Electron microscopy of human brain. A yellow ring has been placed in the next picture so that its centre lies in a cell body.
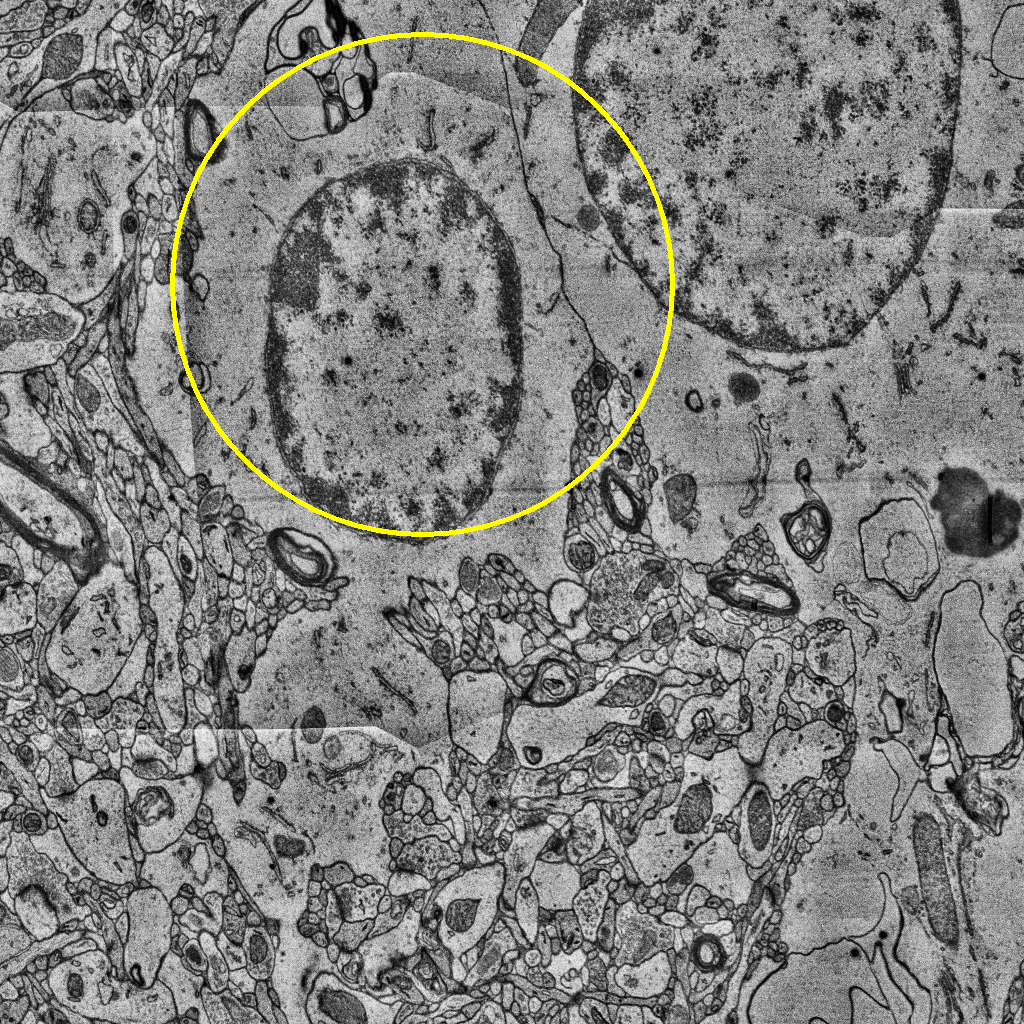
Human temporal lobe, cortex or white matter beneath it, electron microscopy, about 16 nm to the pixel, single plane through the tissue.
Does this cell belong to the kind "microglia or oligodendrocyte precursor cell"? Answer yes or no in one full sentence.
No, the cell in this picture with the ring's centre in its body is of another kind.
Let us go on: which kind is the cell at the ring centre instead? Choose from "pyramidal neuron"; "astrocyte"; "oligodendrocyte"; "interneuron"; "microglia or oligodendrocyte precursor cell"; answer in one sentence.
The ring holds an astrocyte at its centre.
